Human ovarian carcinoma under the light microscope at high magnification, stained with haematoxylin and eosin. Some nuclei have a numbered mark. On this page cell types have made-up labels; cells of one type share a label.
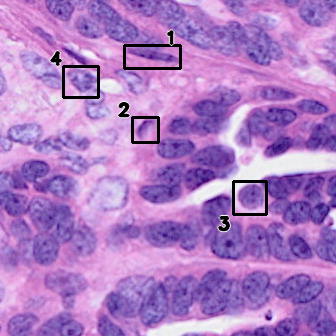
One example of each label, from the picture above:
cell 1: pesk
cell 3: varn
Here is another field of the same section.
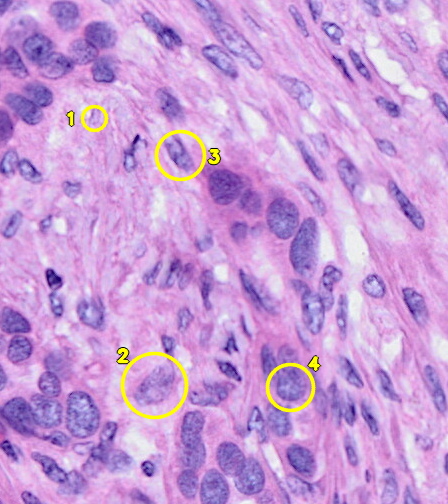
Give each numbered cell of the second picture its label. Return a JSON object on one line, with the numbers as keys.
{"1": "pesk", "2": "pesk", "3": "pesk", "4": "varn"}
